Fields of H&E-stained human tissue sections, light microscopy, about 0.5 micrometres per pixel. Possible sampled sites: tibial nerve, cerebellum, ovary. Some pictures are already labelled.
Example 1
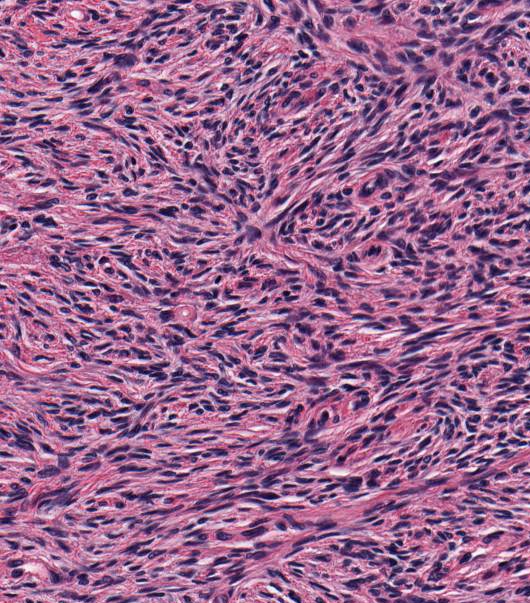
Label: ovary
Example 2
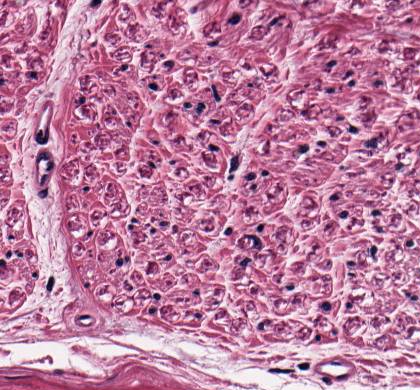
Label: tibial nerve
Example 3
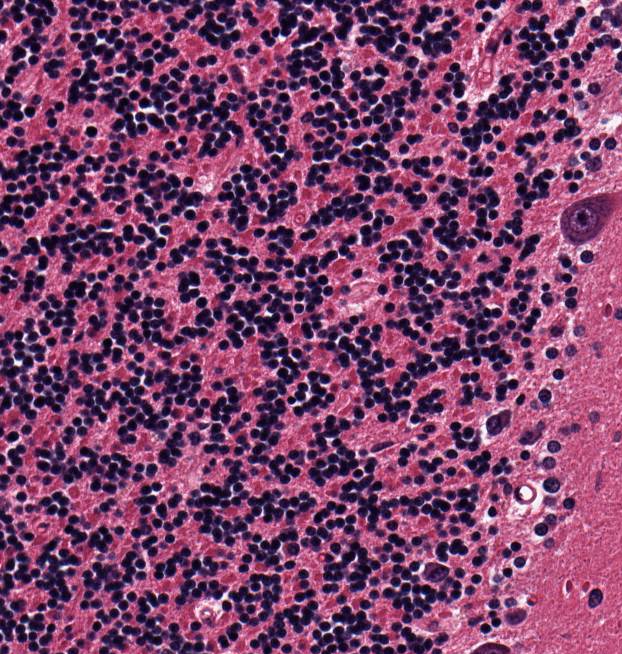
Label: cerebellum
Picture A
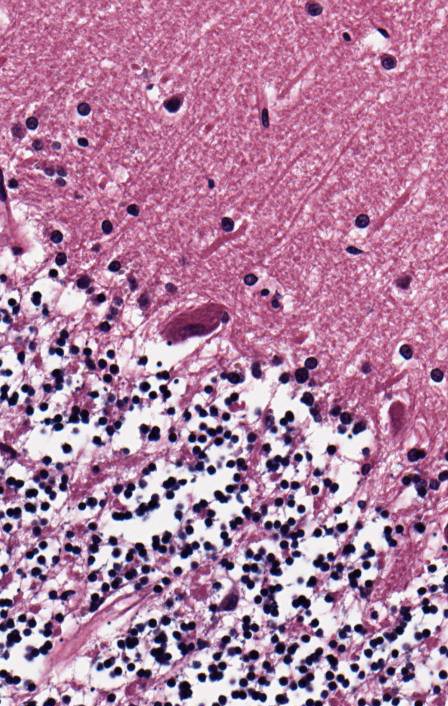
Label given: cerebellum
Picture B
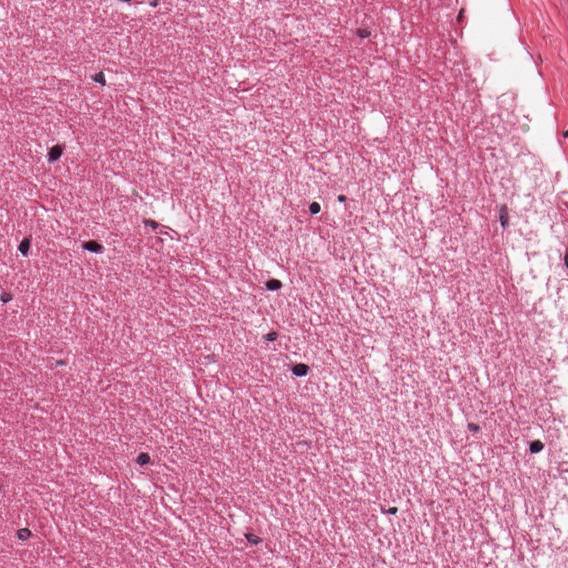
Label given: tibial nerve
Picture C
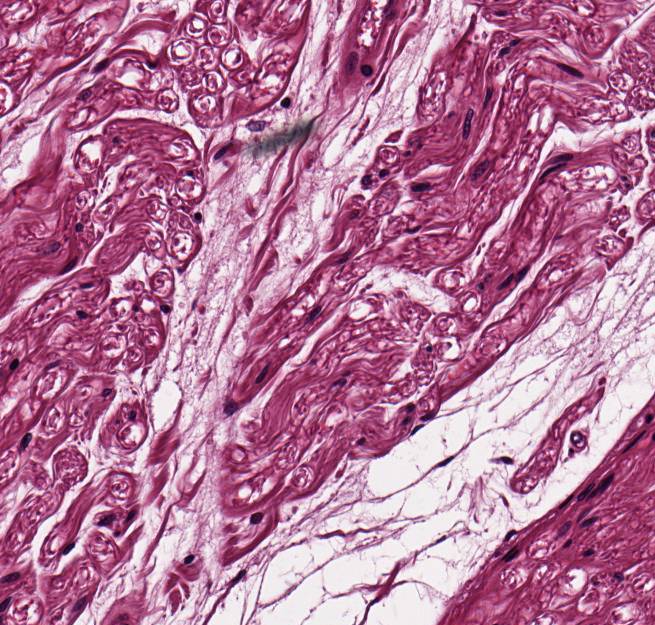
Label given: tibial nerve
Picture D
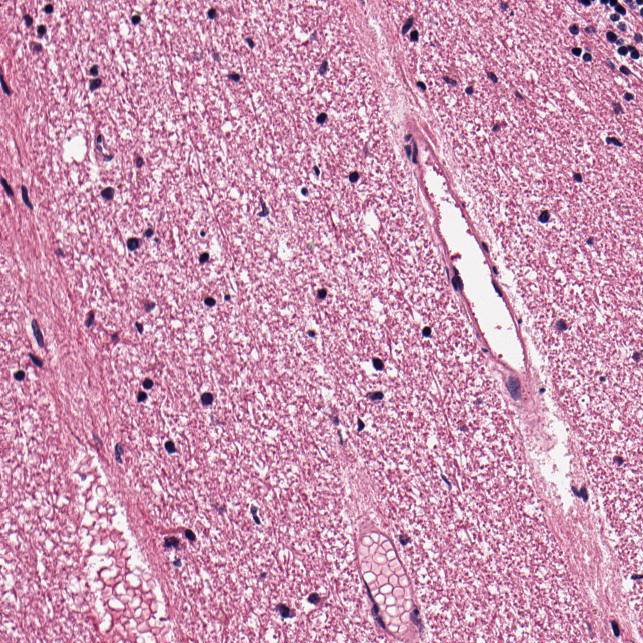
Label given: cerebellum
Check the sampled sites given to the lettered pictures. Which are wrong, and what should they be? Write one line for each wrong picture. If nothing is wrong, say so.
B should be cerebellum, not tibial nerve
